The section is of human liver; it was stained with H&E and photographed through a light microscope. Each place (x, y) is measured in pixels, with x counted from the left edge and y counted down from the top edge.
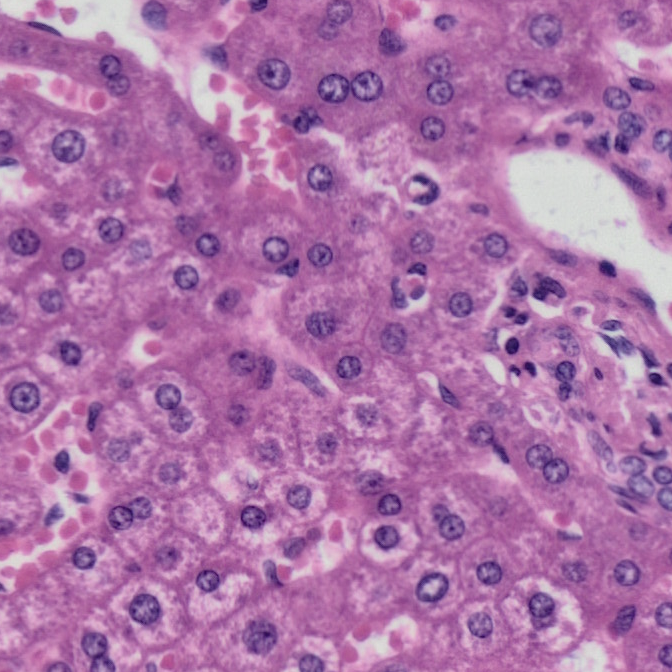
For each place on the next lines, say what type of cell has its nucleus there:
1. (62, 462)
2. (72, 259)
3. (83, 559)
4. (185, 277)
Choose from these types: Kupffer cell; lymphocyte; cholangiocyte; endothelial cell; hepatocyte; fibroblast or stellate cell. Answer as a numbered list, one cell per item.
1. lymphocyte
2. hepatocyte
3. hepatocyte
4. hepatocyte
